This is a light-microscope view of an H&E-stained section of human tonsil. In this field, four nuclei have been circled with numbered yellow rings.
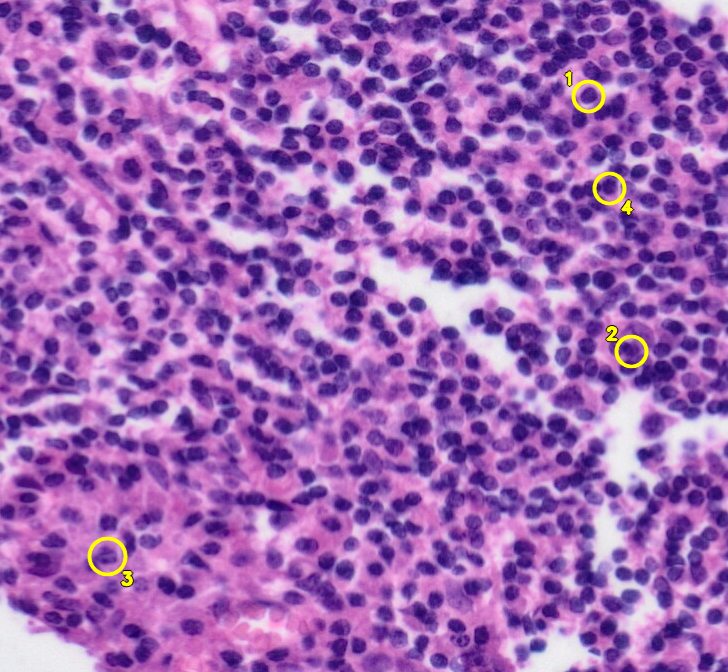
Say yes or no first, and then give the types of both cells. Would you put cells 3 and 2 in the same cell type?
No, cell 3 is interpreted as a plasma cell, and cell 2 is interpreted as a small lymphocyte.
